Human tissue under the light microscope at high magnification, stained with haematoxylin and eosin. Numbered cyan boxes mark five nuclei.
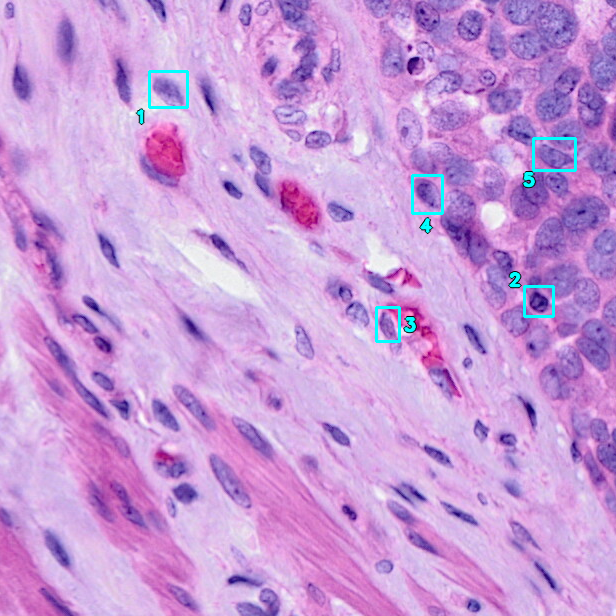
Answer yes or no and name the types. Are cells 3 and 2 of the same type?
No, not so; cell 3 is an endothelial cell and cell 2 is a lymphocyte.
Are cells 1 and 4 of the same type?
No, classify cell 1 as a fibroblast and cell 4 as a macrophage or monocyte.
